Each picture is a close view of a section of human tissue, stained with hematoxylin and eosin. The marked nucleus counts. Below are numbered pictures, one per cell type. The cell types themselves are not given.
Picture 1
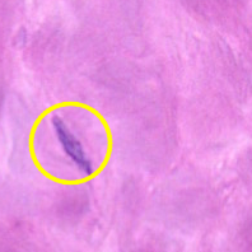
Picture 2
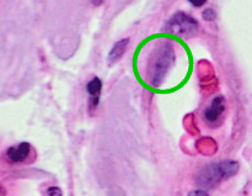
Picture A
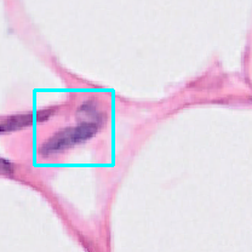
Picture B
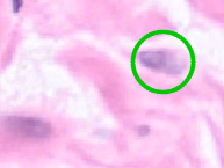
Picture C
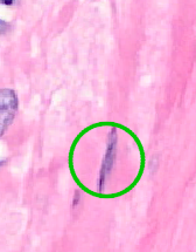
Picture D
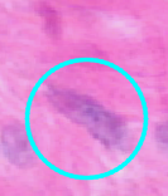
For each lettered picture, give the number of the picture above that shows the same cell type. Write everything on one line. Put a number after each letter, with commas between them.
A 2, B 1, C 1, D 1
